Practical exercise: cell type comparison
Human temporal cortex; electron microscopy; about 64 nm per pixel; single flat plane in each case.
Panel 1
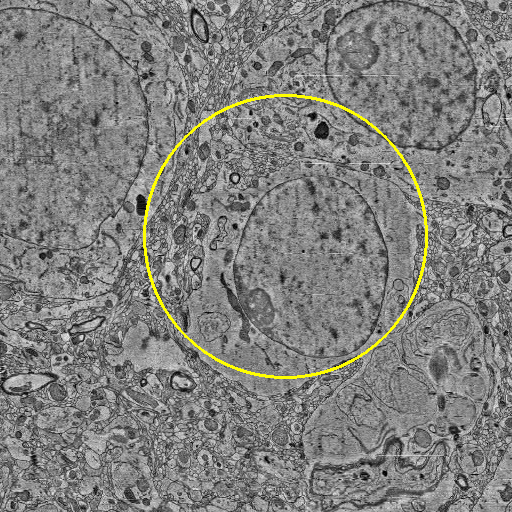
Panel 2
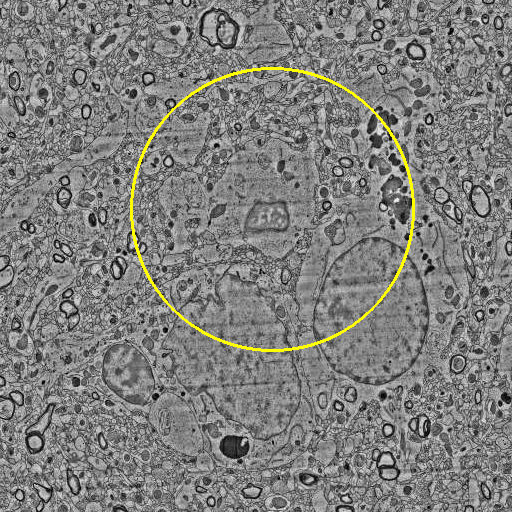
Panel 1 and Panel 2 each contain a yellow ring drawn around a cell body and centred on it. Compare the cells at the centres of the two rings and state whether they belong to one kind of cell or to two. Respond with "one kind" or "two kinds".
one kind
